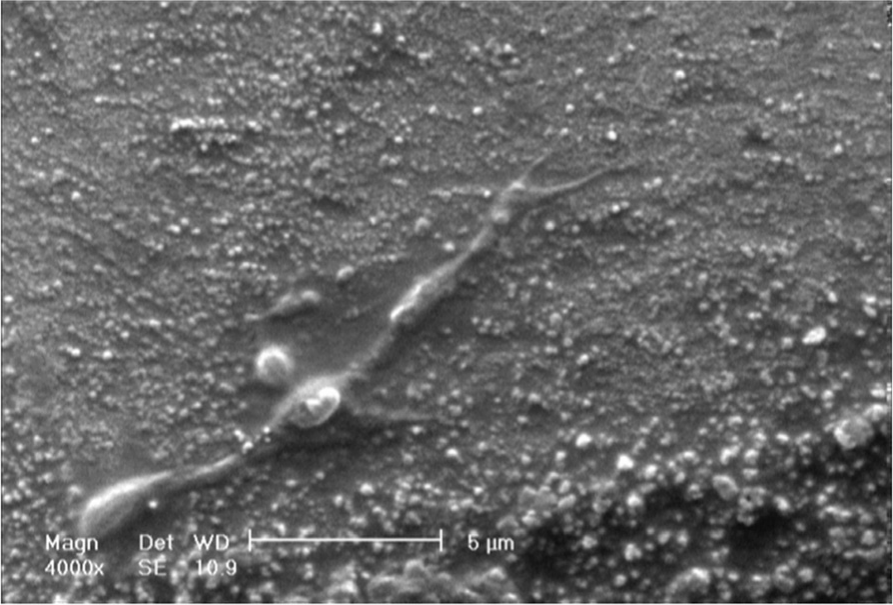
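The cell is long and spindle-shaped and runs diagonally across the field. At the upper end, slender processes branch out over the substrate. At the lower end, a broader tapering extension lies flat against it. The substrate is covered with many small bright granules, which are coarser toward the lower right.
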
